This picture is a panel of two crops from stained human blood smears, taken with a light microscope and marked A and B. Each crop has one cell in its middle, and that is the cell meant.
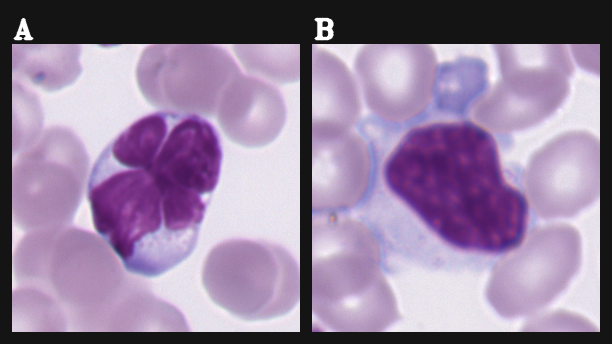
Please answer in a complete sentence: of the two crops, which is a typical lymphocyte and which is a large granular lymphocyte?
Crop A corresponds to a large granular lymphocyte, and crop B corresponds to a typical lymphocyte.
